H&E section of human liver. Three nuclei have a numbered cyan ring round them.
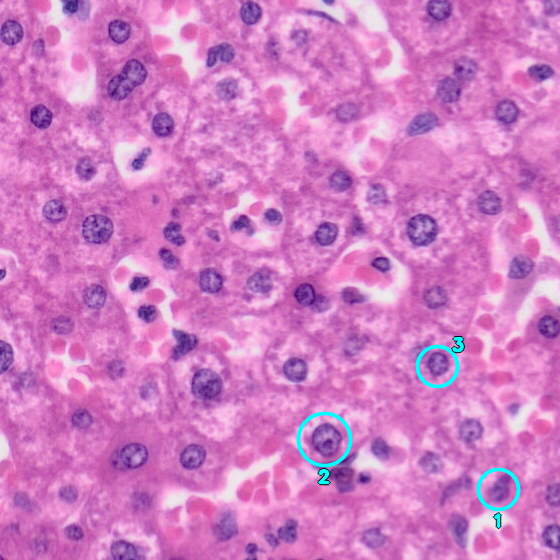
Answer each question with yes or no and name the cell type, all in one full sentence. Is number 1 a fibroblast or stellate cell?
Yes, number 1 corresponds to a fibroblast or stellate cell.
